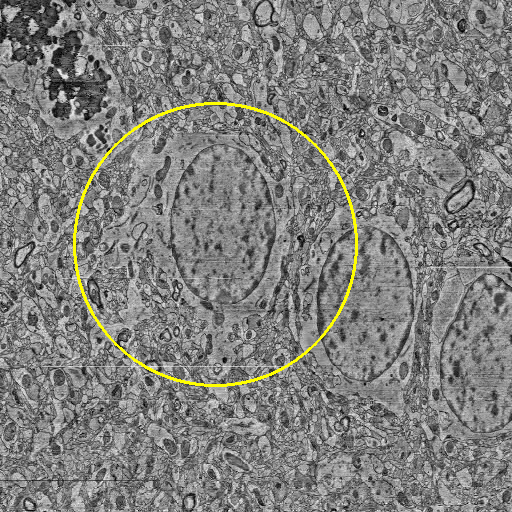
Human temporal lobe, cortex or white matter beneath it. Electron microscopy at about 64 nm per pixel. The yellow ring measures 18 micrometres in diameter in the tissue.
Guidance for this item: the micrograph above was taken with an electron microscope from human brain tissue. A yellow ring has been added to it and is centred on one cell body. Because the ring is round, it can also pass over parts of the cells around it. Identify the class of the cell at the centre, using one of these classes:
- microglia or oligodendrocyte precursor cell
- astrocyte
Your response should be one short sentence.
The ring surrounds the body of an astrocyte.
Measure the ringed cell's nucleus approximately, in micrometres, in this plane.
The nucleus is about 11 micrometres in length and 7 in width, clearly longer than it is wide in this plane.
